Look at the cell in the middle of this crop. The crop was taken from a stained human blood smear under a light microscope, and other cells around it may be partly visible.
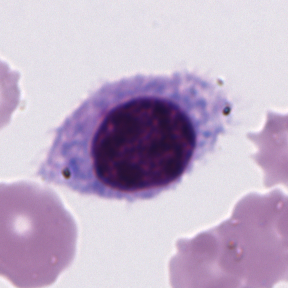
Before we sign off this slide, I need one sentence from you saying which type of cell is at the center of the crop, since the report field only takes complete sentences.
In this smear crop, the middle cell is a hairy cell.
